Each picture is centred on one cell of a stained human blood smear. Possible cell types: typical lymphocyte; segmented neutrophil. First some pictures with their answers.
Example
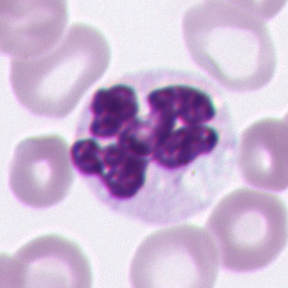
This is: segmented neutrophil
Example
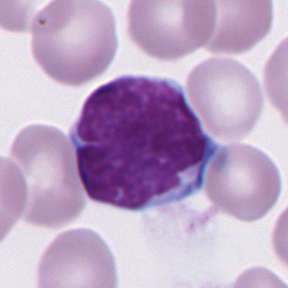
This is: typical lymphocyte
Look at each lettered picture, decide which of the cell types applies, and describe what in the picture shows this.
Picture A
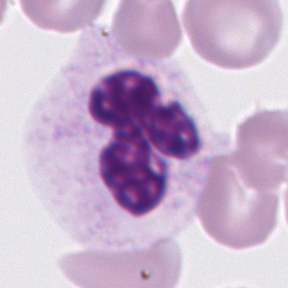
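segmented neutrophil. The nucleus is split into three lobes joined to one another.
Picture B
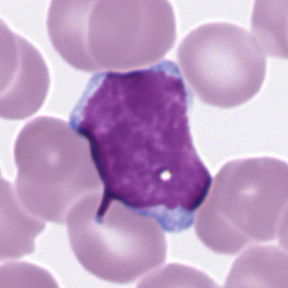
typical lymphocyte. The nucleus fills almost the whole cell.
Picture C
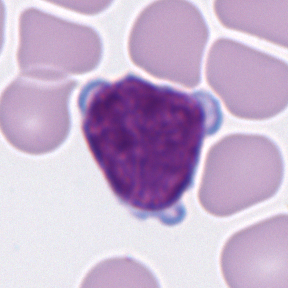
typical lymphocyte. The nucleus fills almost the whole cell.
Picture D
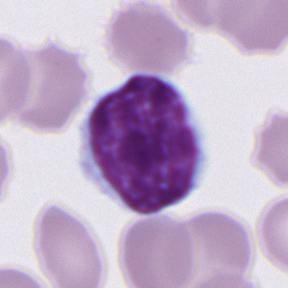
typical lymphocyte. The cytoplasm forms only a thin rim around the nucleus.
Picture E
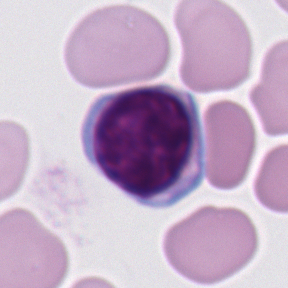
typical lymphocyte. The cytoplasm forms only a thin rim around the nucleus.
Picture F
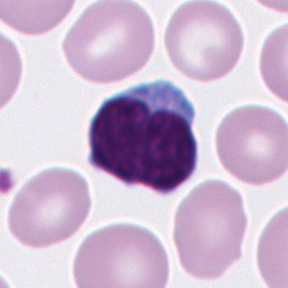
typical lymphocyte. The cytoplasm forms a narrow cap mainly along the upper edge of the cell.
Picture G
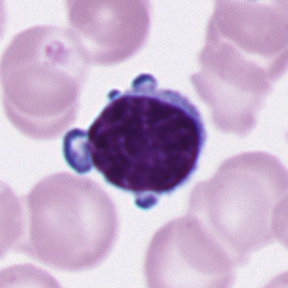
typical lymphocyte. The cytoplasm is a scant pale rim, widest at the upper right.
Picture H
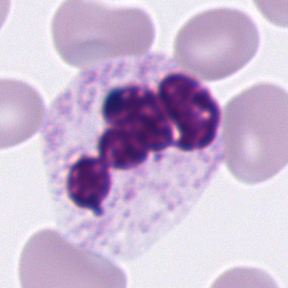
segmented neutrophil. The nucleus is divided into four lobes joined by narrow links.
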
